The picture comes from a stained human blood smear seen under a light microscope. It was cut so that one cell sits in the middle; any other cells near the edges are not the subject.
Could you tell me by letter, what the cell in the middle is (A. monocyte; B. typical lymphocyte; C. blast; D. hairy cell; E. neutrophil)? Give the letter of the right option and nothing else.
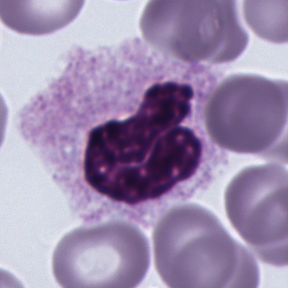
E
